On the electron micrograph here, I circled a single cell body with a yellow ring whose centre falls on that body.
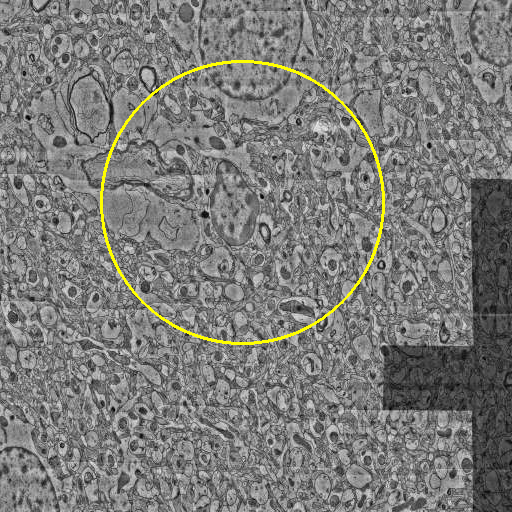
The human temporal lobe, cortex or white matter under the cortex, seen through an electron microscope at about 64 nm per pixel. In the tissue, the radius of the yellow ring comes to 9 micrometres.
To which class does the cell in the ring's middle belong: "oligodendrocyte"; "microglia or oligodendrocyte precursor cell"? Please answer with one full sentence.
In this picture, the cell body circled at the ring's centre belongs to a microglial cell or oligodendrocyte precursor cell.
